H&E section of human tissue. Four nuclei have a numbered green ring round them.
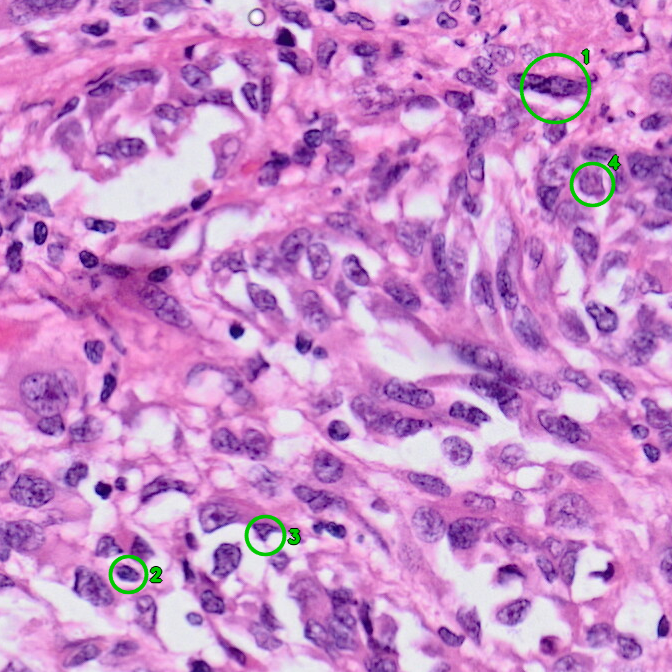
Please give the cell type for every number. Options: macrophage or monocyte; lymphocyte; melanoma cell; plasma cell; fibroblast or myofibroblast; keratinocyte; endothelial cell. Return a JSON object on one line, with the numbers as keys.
{"1": "melanoma cell", "2": "lymphocyte", "3": "melanoma cell", "4": "melanoma cell"}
